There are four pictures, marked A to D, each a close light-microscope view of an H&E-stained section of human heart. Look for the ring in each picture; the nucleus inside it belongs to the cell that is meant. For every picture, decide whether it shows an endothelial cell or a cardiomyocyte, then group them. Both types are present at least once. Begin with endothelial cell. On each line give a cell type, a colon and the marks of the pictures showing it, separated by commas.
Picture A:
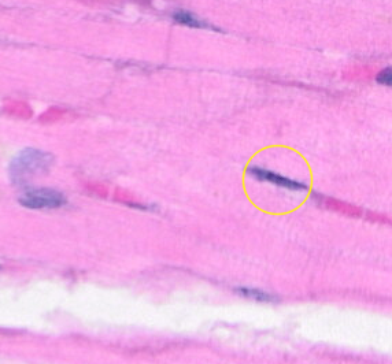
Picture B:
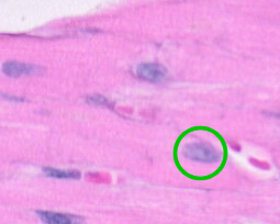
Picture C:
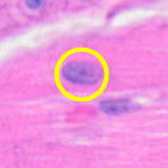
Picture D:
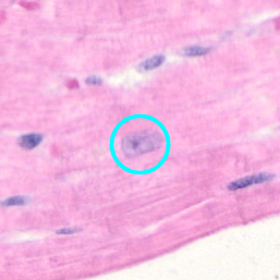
endothelial cell: A
cardiomyocyte: B, C, D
